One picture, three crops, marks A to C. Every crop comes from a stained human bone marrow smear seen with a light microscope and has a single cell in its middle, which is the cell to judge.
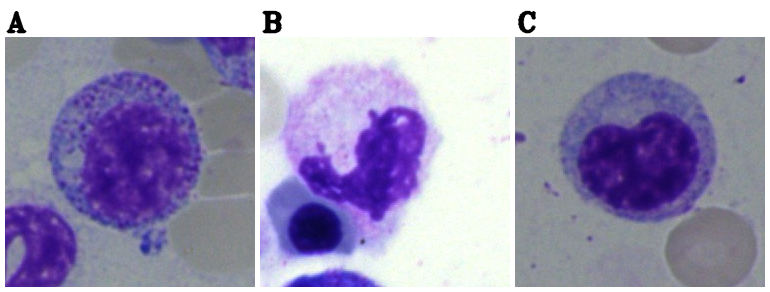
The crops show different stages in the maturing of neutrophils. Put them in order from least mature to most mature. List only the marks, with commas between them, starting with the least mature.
A, C, B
